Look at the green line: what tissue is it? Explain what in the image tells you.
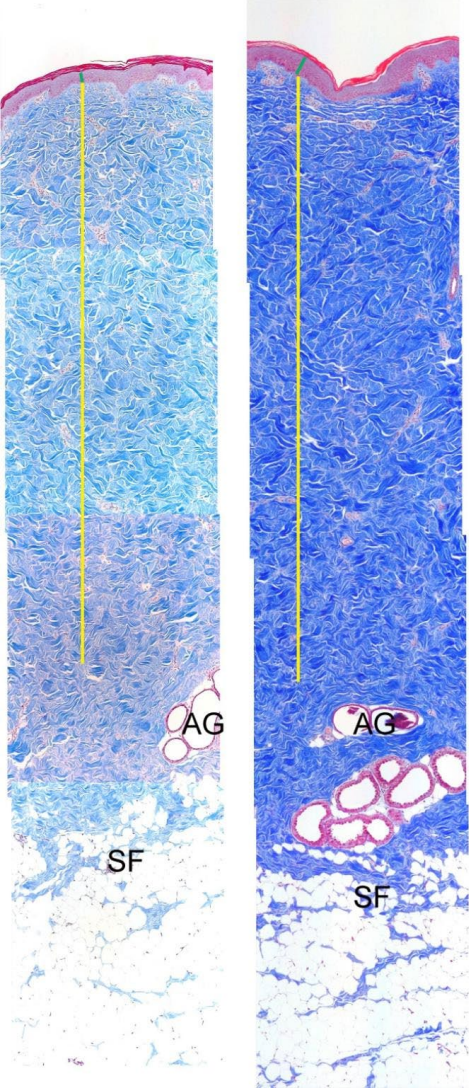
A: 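The short green line spans the thin pink-red band at the top surface. This band lies above the blue fibrous layer.
Hence: epidermis.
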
